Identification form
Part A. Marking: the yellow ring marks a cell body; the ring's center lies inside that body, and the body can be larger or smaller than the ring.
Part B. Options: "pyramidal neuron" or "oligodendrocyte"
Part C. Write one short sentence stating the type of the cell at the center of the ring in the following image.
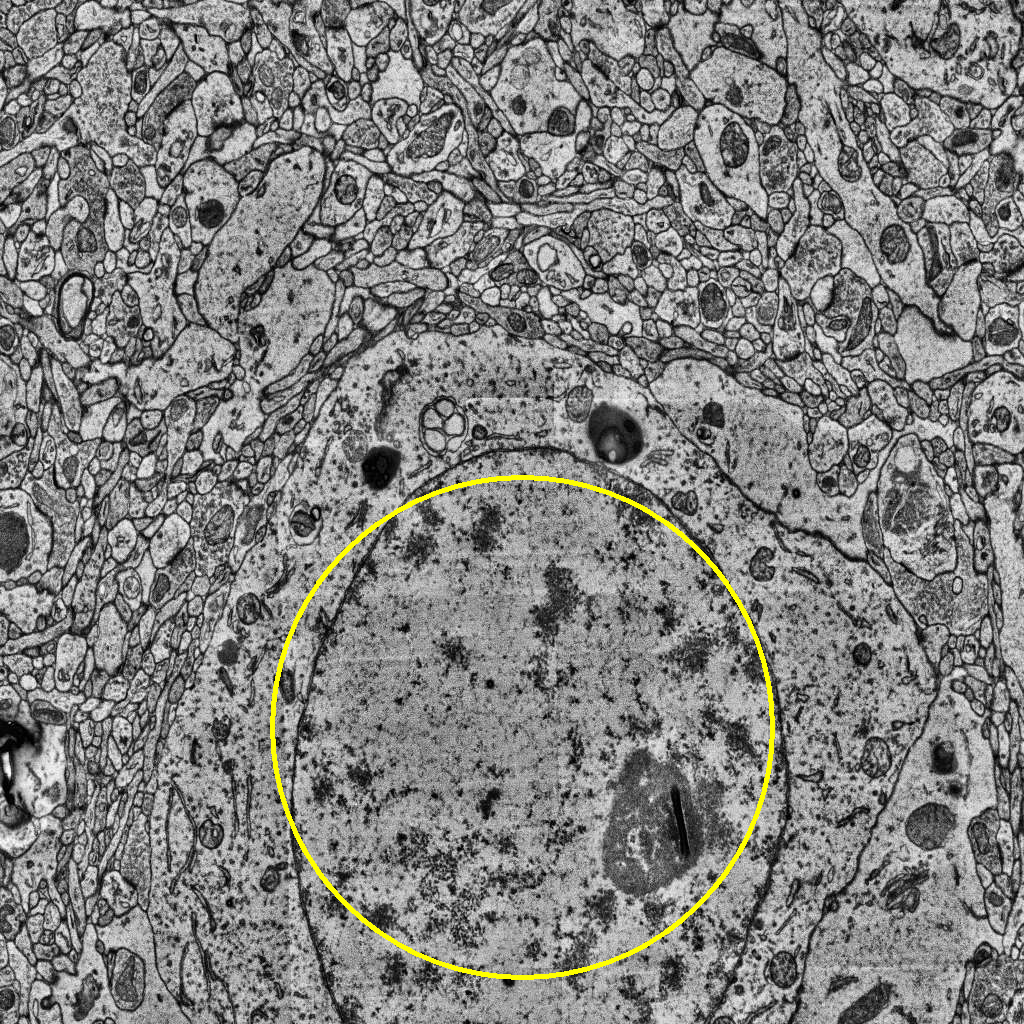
The center of the ring holds a pyramidal neuron.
